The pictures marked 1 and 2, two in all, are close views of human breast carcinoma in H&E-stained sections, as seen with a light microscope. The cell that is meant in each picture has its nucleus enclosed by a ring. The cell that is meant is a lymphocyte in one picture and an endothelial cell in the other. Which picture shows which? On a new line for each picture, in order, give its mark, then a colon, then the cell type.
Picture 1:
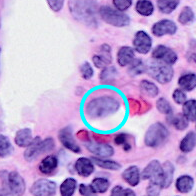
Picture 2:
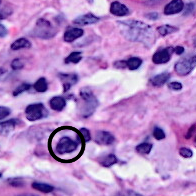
1: endothelial cell
2: lymphocyte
